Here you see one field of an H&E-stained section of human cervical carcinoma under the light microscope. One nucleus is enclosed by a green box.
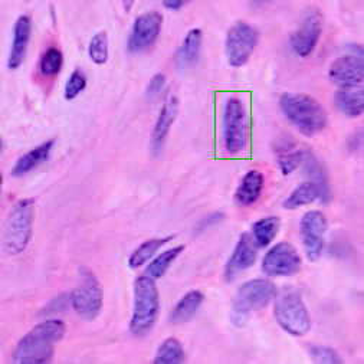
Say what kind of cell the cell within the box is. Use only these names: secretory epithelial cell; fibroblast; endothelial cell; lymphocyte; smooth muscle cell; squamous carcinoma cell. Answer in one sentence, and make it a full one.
In short, the cell within the box on this section is a fibroblast.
